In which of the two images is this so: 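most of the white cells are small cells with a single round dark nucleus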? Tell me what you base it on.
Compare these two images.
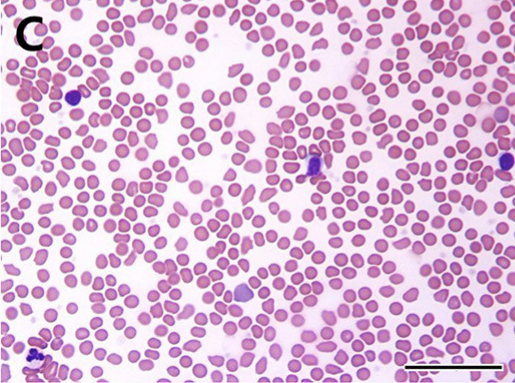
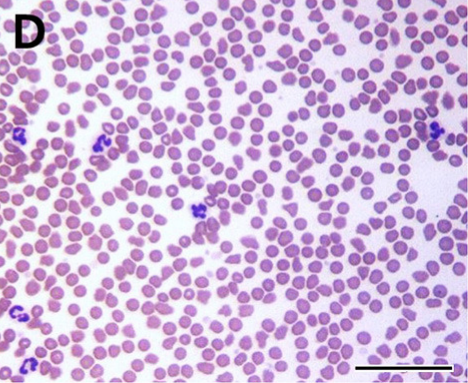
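Second image: the scattered white cells mostly have segmented, lobed nuclei. First image: most white cells have a single round, dense purple nucleus with little cytoplasm.
Conclusion: the first image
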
